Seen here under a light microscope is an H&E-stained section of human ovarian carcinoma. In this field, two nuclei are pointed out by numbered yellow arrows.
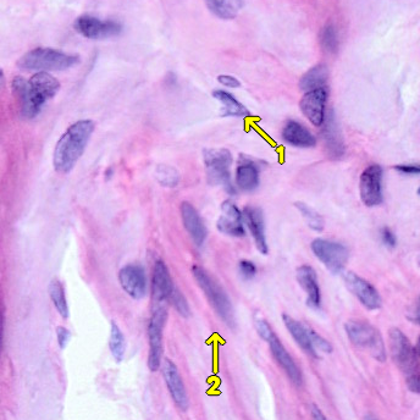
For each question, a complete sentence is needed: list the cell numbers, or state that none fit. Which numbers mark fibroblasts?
It is only cell 1 that is a fibroblast among the numbered cells.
